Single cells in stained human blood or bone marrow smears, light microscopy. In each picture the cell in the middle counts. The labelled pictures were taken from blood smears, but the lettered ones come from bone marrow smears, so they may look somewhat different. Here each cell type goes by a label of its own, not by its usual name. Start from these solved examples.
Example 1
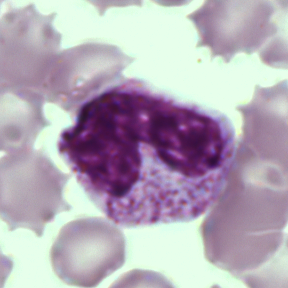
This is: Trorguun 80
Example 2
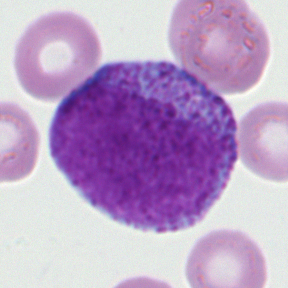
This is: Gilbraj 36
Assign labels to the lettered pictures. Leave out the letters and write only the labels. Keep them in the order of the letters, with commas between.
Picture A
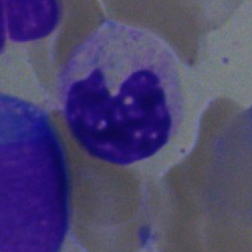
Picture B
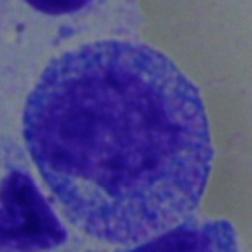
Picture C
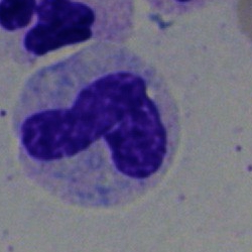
Trorguun 80, Gilbraj 36, Trorguun 80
